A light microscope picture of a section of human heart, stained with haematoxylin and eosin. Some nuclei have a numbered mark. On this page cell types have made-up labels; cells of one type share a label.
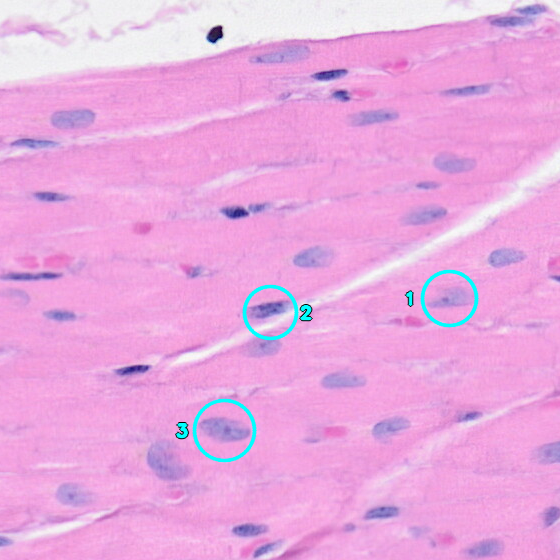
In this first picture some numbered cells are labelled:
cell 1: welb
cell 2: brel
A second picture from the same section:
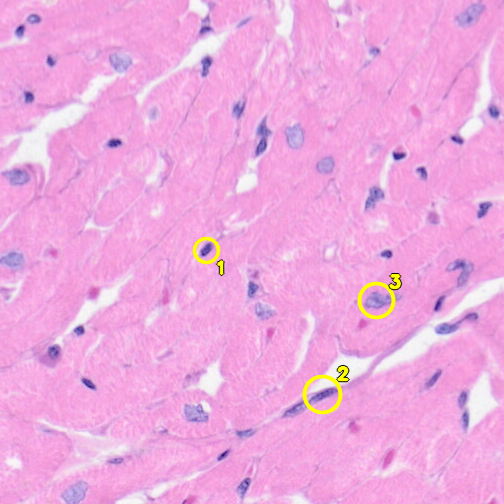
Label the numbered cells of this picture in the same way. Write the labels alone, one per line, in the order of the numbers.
brel
brel
welb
